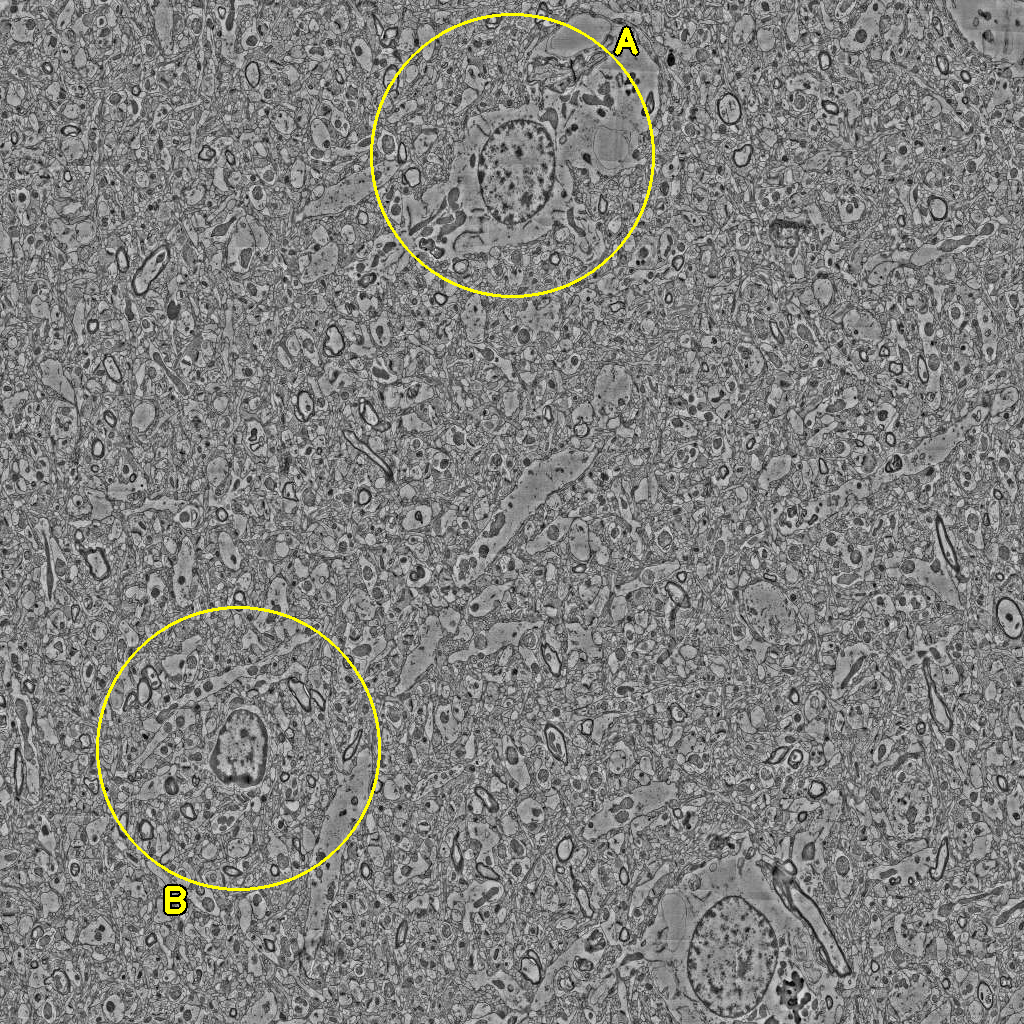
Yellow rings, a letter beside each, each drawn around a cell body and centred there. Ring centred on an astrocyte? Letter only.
A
